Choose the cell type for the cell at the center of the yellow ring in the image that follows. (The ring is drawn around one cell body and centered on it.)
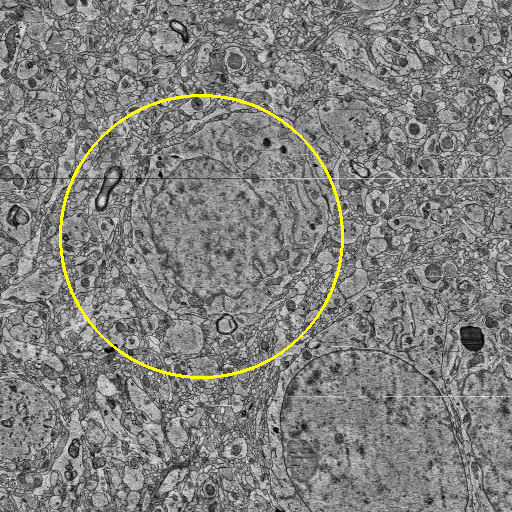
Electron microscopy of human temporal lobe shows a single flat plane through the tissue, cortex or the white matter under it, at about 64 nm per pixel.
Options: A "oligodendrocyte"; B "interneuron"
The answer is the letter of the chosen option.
B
